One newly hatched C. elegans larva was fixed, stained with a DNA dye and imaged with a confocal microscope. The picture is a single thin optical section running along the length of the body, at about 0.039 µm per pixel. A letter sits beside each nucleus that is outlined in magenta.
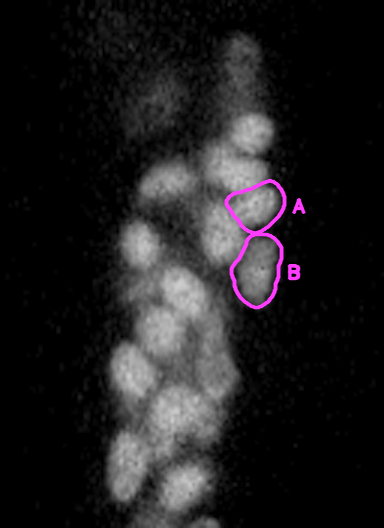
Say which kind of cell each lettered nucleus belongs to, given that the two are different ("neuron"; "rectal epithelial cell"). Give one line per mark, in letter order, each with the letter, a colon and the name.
A: neuron
B: rectal epithelial cell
